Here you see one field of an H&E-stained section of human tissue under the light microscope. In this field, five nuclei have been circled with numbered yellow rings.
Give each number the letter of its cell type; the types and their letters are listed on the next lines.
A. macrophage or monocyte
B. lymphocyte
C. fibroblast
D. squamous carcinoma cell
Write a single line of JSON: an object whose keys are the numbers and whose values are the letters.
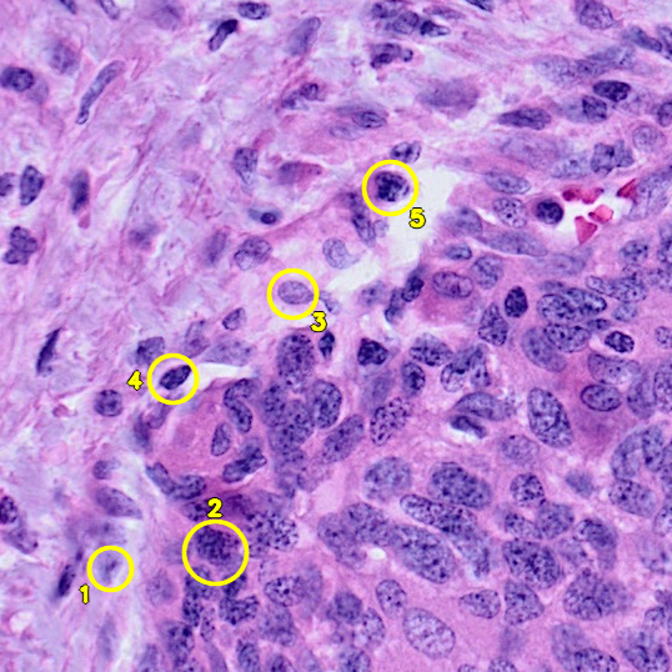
{"1": "C", "2": "D", "3": "A", "4": "B", "5": "B"}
